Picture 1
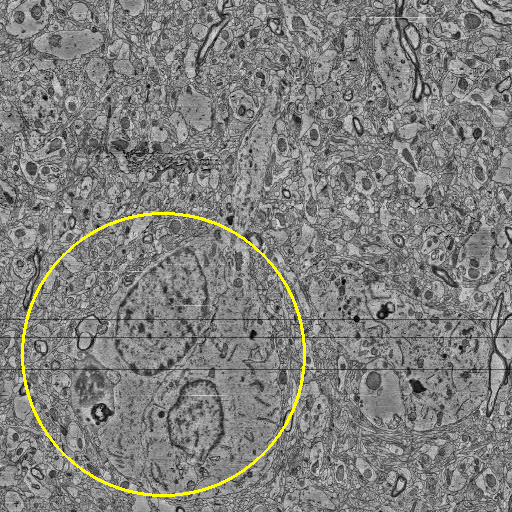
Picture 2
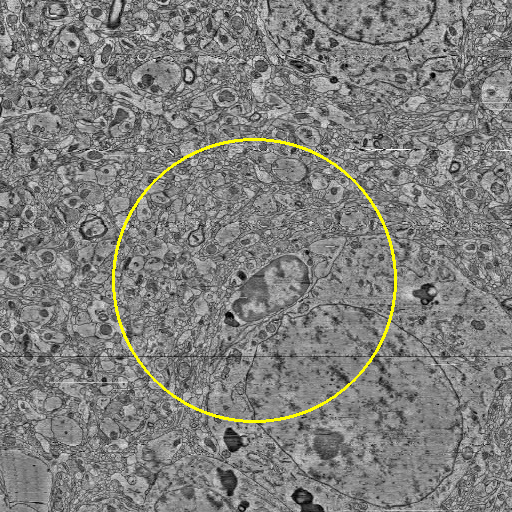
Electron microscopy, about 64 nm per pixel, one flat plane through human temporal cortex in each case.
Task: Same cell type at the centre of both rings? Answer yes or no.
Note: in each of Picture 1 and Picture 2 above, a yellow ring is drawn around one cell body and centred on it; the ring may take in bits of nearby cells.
yes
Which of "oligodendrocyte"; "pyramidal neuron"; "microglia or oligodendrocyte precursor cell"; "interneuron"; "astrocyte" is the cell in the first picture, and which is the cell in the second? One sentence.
In each picture the ringed cell is a microglial cell or oligodendrocyte precursor cell.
